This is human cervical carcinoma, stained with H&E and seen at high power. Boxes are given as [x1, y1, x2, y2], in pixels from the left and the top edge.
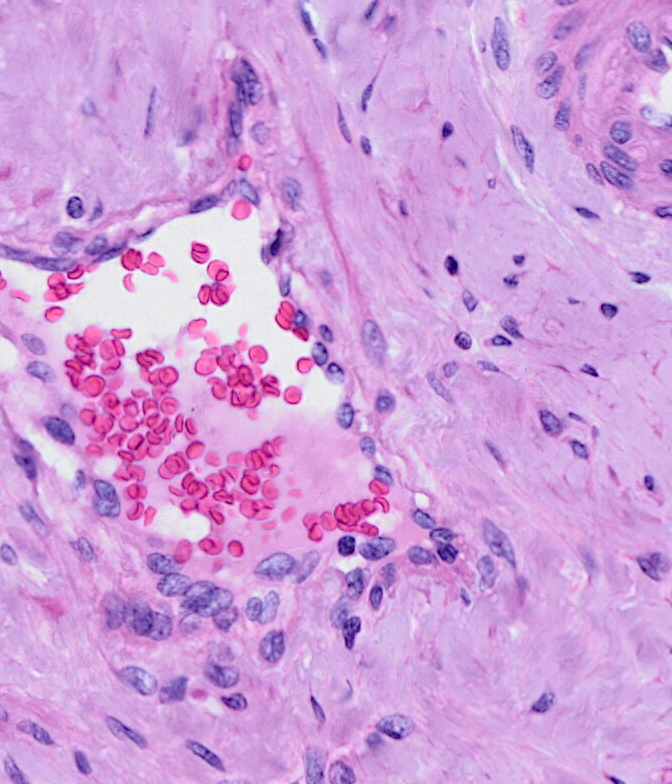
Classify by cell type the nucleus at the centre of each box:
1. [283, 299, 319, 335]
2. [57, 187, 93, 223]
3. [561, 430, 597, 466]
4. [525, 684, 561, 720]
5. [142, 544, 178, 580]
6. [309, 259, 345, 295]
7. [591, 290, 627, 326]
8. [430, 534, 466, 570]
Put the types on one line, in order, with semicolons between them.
endothelial cell; lymphocyte; smooth muscle cell; fibroblast; endothelial cell; smooth muscle cell; fibroblast; endothelial cell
